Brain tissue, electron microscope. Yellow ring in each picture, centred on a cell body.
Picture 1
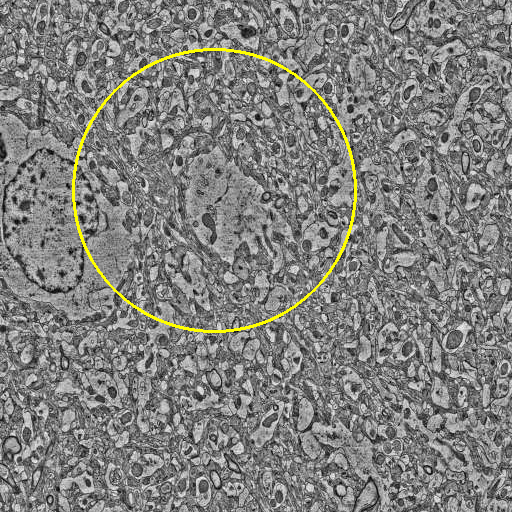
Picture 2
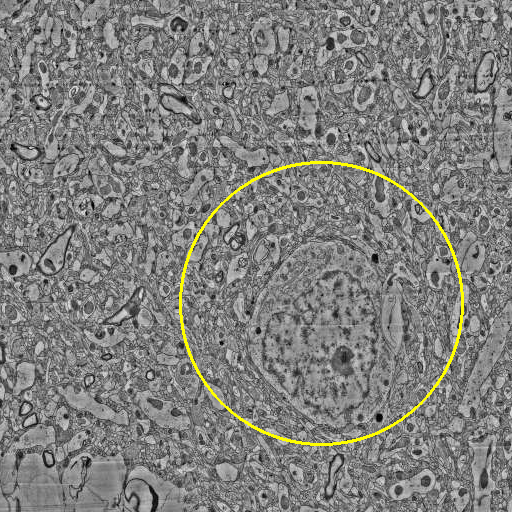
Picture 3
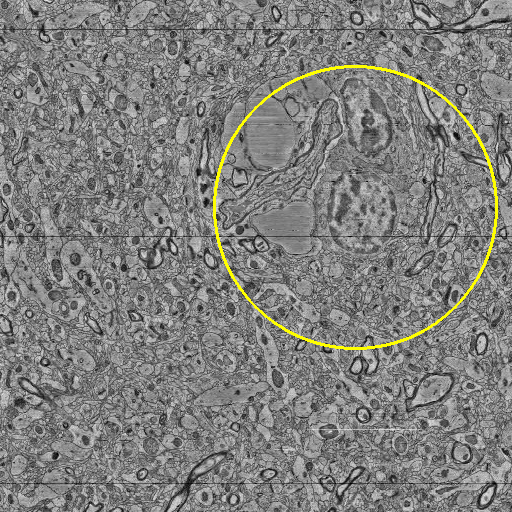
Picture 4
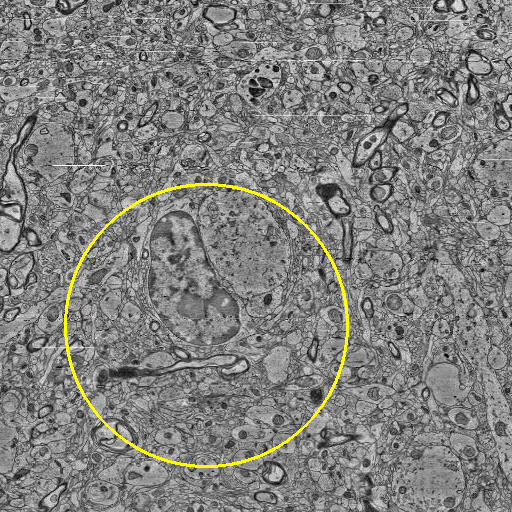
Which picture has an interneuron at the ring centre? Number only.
2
